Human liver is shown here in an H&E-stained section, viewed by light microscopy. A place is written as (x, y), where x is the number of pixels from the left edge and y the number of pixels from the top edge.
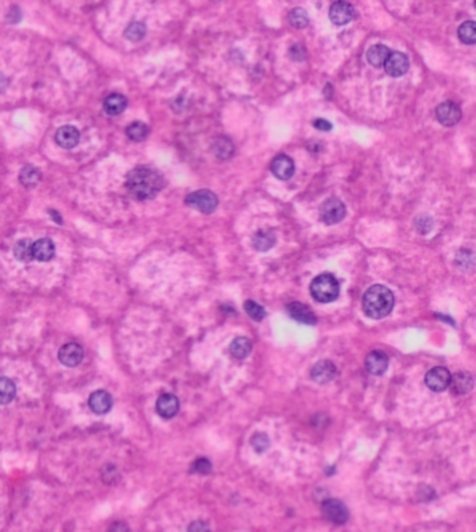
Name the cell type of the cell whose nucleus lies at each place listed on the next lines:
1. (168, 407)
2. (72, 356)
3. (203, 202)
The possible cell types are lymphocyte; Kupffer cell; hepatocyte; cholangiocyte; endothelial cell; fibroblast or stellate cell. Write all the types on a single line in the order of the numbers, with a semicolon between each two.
hepatocyte; hepatocyte; endothelial cell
